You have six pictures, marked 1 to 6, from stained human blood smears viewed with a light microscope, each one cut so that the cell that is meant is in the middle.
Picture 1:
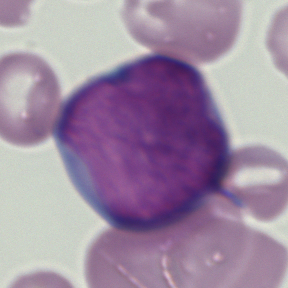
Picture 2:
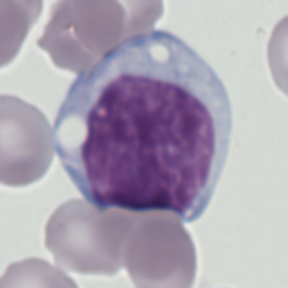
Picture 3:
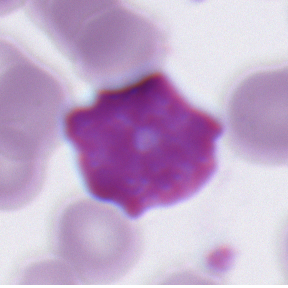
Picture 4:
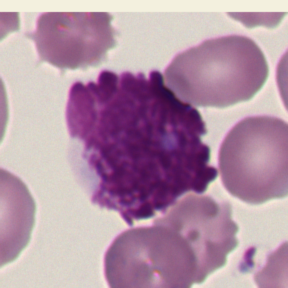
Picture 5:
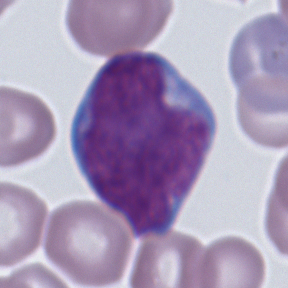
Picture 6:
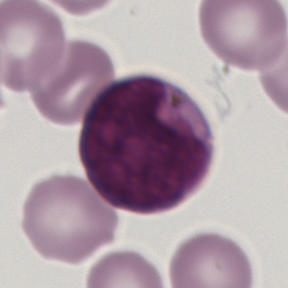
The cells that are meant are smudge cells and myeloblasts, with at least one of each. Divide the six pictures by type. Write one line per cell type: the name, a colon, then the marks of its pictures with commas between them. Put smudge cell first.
smudge cell: 3, 4
myeloblast: 1, 2, 5, 6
